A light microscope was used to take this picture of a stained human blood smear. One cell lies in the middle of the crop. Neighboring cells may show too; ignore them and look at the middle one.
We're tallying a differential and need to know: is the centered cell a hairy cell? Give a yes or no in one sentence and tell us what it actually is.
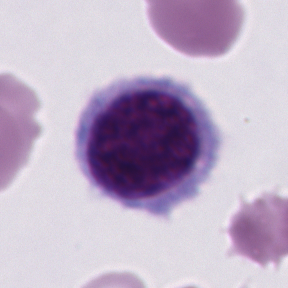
Yes, the cell in the centre is a hairy cell.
